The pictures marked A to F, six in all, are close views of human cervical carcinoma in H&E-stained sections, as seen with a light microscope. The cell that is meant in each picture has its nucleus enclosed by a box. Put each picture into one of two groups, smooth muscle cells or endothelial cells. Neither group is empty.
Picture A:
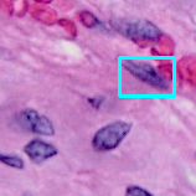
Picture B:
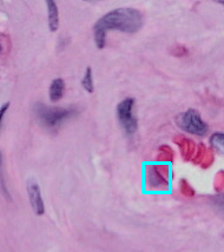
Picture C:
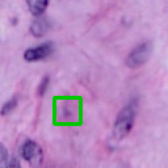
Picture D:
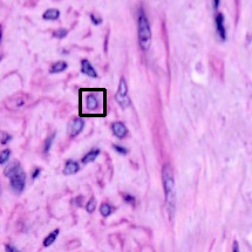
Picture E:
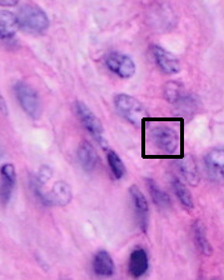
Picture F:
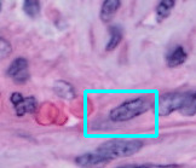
A: endothelial cell
B: endothelial cell
C: smooth muscle cell
D: smooth muscle cell
E: endothelial cell
F: endothelial cell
